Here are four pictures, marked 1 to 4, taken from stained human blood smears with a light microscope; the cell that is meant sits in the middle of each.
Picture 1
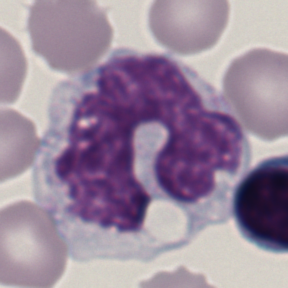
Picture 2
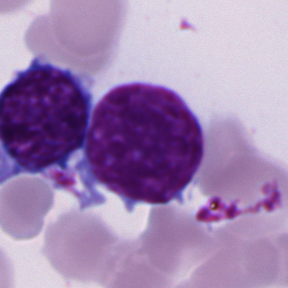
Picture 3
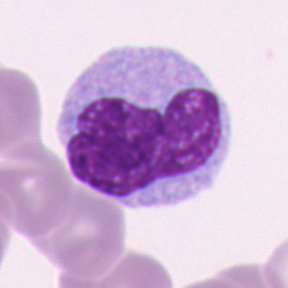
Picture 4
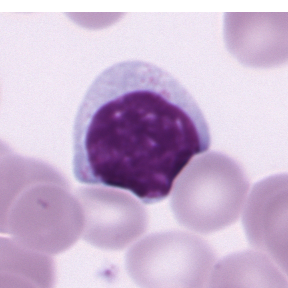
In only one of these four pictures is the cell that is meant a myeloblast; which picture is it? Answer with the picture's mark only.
2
